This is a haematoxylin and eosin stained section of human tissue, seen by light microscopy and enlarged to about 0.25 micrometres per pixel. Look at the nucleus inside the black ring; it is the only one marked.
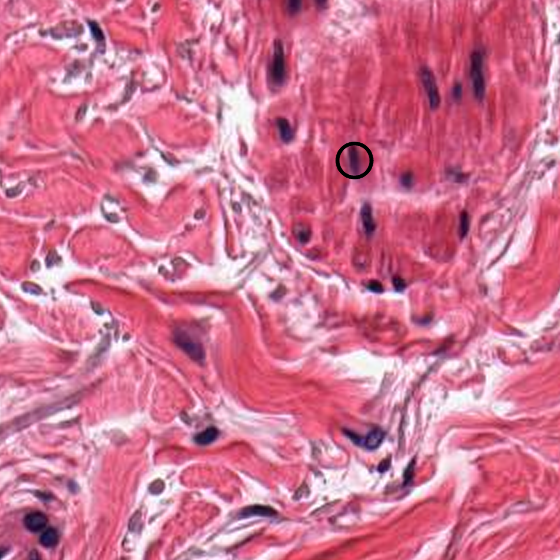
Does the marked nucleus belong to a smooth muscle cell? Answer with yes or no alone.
yes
